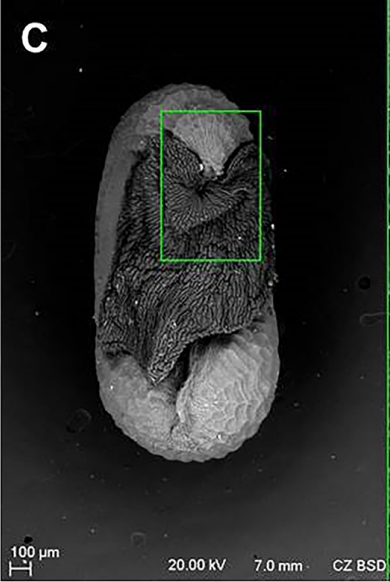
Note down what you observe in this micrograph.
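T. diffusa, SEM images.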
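A single oblong seed whose lower end shows a coarse honeycomb pattern of polygonal coat cells. Much of its upper part is covered by a darker, finely wrinkled layer topped by a paler fan-shaped cap.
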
